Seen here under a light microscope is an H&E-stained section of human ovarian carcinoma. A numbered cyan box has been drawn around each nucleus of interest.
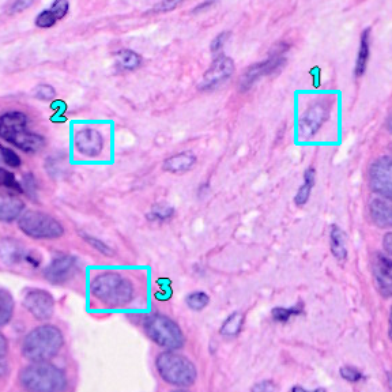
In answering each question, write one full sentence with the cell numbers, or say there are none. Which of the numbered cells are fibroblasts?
Cell number 1 alone is a fibroblast; the rest are not.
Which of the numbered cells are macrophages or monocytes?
The only cell among those numbered to be a macrophage or monocyte is number 2.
